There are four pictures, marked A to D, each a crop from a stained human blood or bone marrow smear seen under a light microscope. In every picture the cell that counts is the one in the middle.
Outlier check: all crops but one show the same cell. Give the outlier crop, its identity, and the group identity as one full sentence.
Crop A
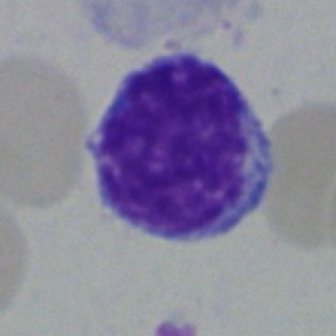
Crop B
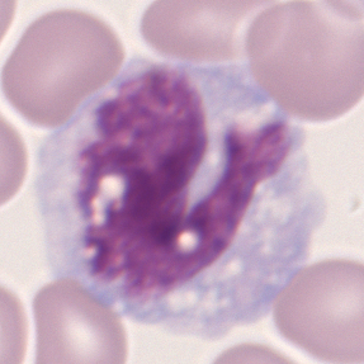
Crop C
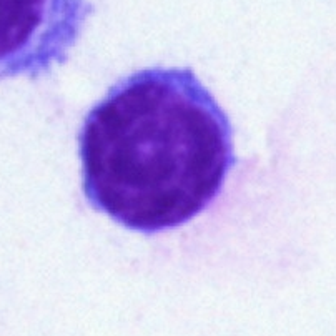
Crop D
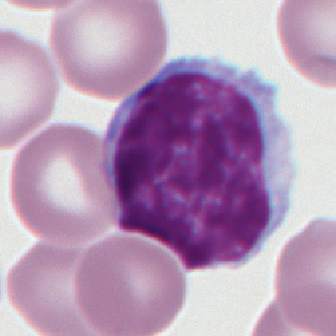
The exception is crop B, with a monocyte; the remaining crops all show lymphocytes.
